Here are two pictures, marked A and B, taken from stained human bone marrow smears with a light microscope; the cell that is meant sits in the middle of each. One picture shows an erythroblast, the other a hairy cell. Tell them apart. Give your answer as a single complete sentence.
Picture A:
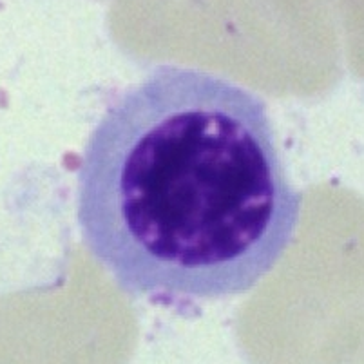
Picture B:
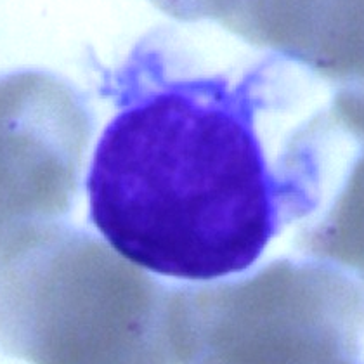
Picture B shows a hairy cell, while picture A shows an erythroblast.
